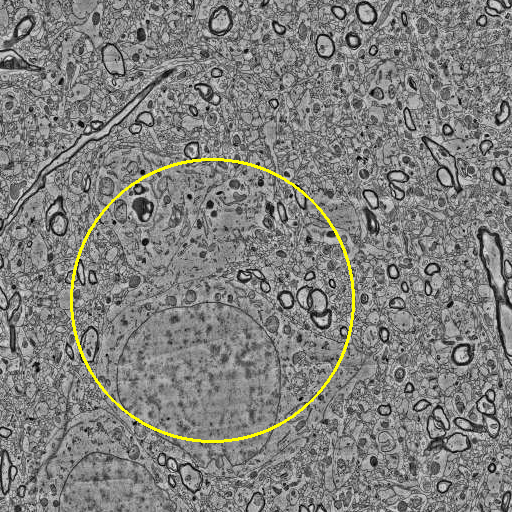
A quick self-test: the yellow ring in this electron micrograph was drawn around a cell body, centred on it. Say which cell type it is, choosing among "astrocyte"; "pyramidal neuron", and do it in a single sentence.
The yellow-ringed cell is a pyramidal neuron.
